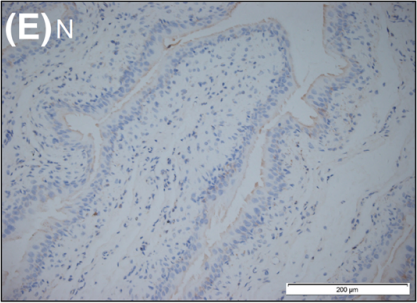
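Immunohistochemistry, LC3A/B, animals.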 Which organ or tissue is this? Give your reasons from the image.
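Folded mucosa lining a lumen. A multilayered lining epithelium over loose connective tissue with scattered nuclei. That points to this answer: urinary bladder.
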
